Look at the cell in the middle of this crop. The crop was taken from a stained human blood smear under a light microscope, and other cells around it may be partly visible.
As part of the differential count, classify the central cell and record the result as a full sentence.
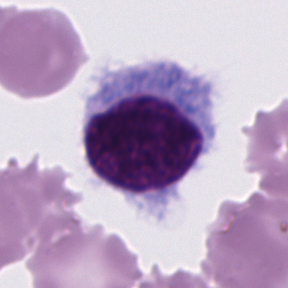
Among the cells in view, the one in the middle is a hairy cell.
